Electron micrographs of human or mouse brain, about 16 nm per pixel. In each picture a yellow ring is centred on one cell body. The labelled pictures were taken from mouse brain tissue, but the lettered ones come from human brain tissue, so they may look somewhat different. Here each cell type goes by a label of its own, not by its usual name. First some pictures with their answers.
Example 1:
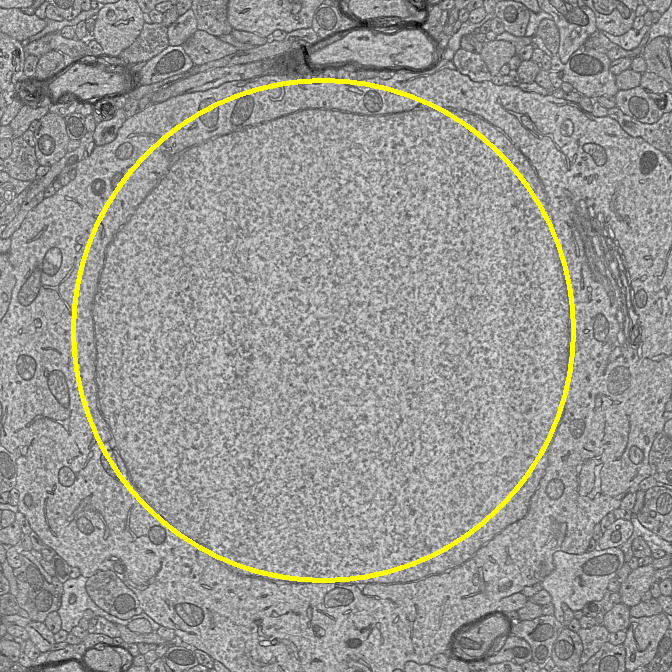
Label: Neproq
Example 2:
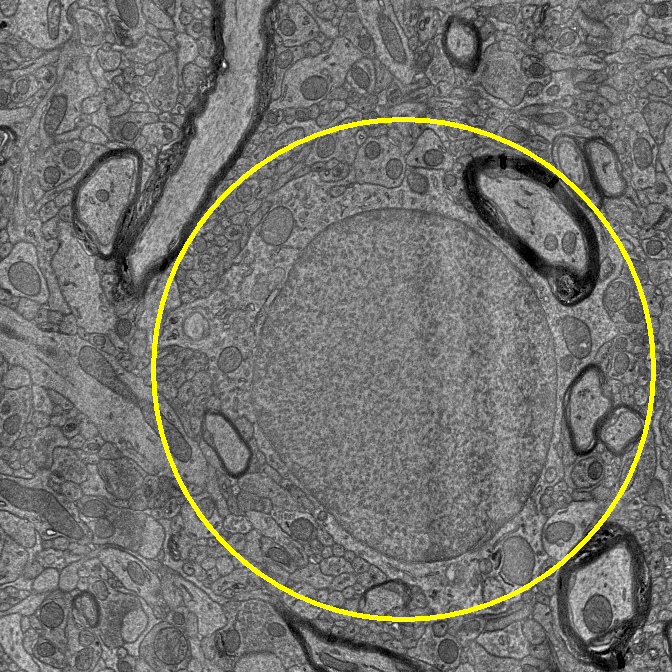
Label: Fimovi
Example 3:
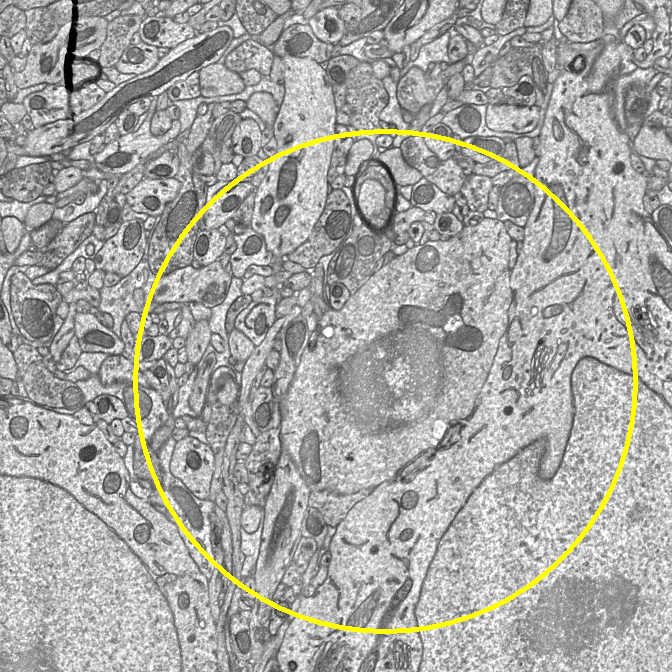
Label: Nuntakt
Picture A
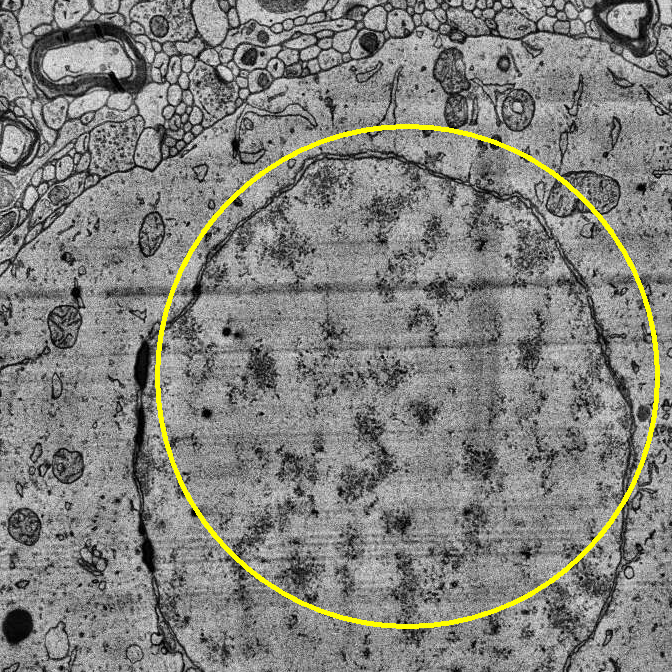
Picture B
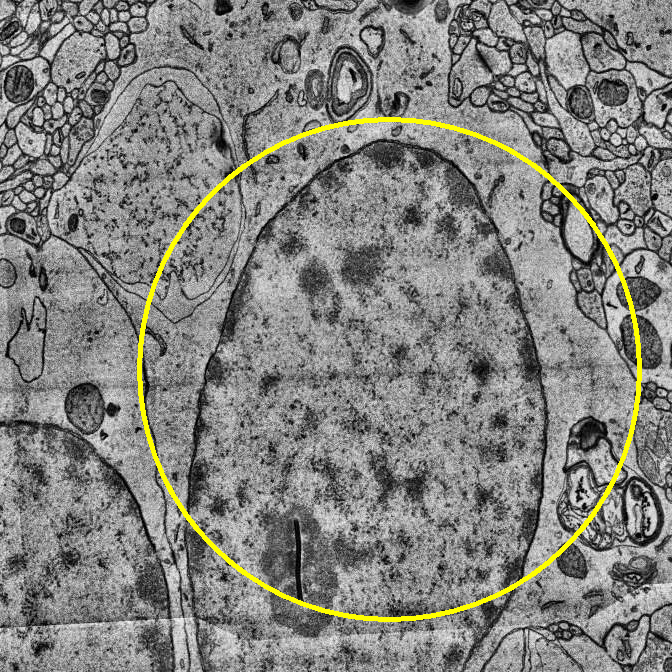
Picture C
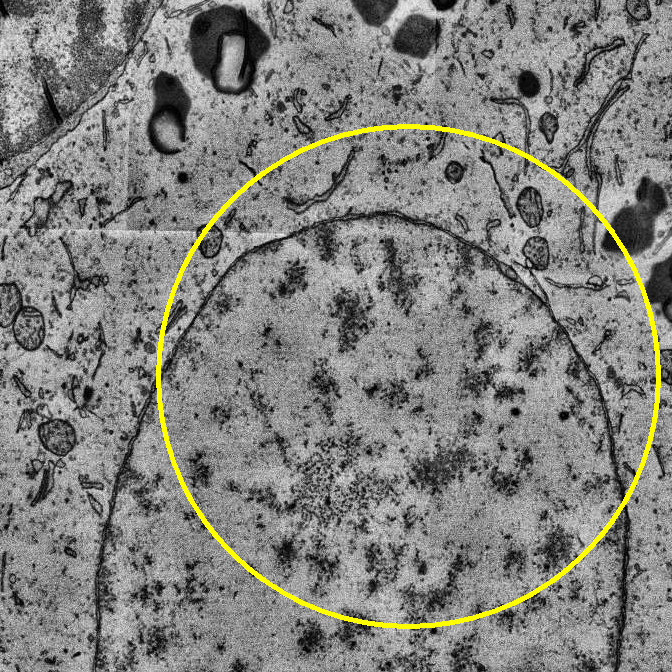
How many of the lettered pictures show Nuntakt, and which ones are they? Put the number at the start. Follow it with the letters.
0, none of them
